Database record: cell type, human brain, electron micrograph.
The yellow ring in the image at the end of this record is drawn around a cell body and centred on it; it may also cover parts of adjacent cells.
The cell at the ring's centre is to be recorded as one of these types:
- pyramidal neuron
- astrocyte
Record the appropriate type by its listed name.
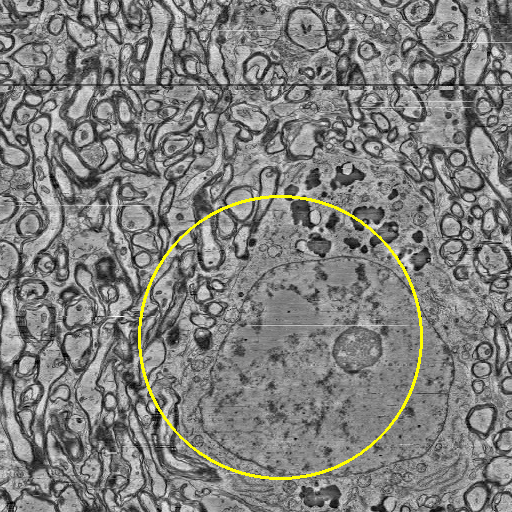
pyramidal neuron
